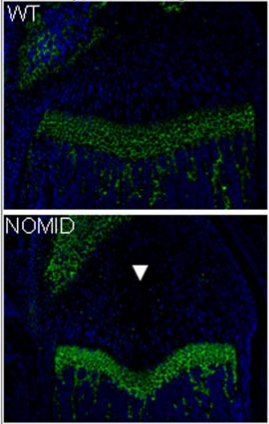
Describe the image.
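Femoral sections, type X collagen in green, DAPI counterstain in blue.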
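In each, a bright green band of large, rounded cell outlines forms the hypertrophic chondrocyte zone. Above the band, the cartilage shows sparse blue nuclei. In the lower section, the band is curved. Above it, beneath a white arrowhead, lies a darker area with few or no nuclei. At the upper left of both sections, faint green-speckled tissue is seen.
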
